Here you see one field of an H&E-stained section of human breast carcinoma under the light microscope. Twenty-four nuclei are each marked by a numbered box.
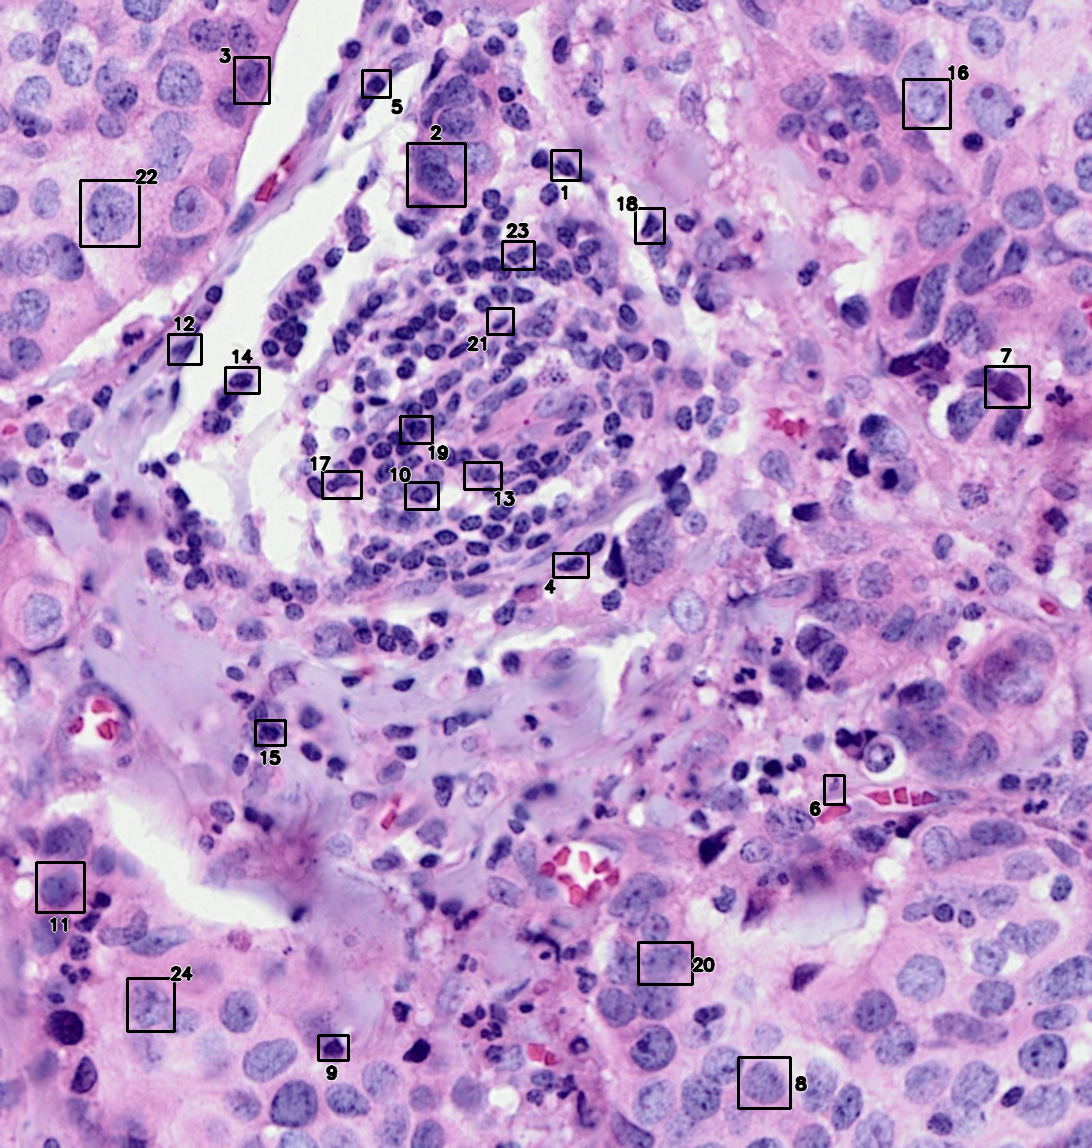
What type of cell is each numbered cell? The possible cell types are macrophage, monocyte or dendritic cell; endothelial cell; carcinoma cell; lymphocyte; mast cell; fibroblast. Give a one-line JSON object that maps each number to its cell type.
{"1": "lymphocyte", "2": "carcinoma cell", "3": "carcinoma cell", "4": "lymphocyte", "5": "lymphocyte", "6": "endothelial cell", "7": "carcinoma cell", "8": "carcinoma cell", "9": "carcinoma cell", "10": "lymphocyte", "11": "carcinoma cell", "12": "lymphocyte", "13": "lymphocyte", "14": "lymphocyte", "15": "lymphocyte", "16": "carcinoma cell", "17": "lymphocyte", "18": "lymphocyte", "19": "lymphocyte", "20": "carcinoma cell", "21": "lymphocyte", "22": "carcinoma cell", "23": "lymphocyte", "24": "carcinoma cell"}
